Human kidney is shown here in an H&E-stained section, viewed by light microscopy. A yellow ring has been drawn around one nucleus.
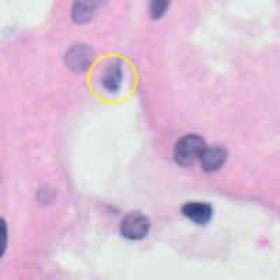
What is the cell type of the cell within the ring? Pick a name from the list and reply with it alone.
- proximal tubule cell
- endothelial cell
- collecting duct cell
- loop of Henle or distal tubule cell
endothelial cell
